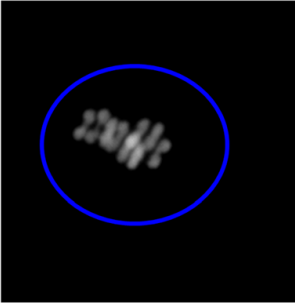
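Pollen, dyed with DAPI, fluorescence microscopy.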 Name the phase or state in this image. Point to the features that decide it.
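The chromosome group forms a compact band across the middle of the circled area. So: Metaphase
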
